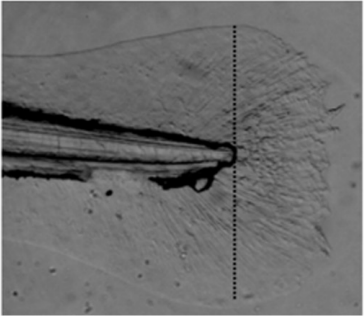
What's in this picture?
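Dark pigment cells line the dorsal and ventral margins of the axial tissue, and the axial rod ends in a rounded tip at the dotted line. Beyond it, a thin, translucent fin fold spreads out in a fan, crossed by fine radiating striations toward its rim.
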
